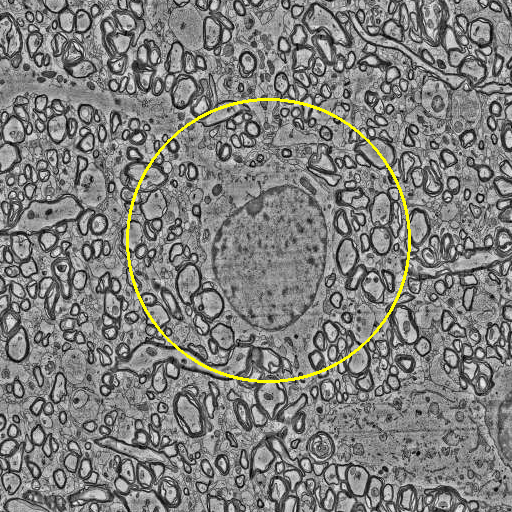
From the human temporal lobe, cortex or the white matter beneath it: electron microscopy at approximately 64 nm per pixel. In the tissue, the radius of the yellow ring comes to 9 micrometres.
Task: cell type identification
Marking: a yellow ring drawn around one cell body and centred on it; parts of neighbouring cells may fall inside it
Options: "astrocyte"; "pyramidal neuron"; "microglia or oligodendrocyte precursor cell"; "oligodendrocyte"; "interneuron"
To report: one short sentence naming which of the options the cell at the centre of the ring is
The cell at the centre of the ring is an astrocyte.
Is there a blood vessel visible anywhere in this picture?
No, the image shows no blood vessel.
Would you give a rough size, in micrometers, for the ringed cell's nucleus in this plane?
Roughly 9 micrometres by 7 micrometres, in this plane.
